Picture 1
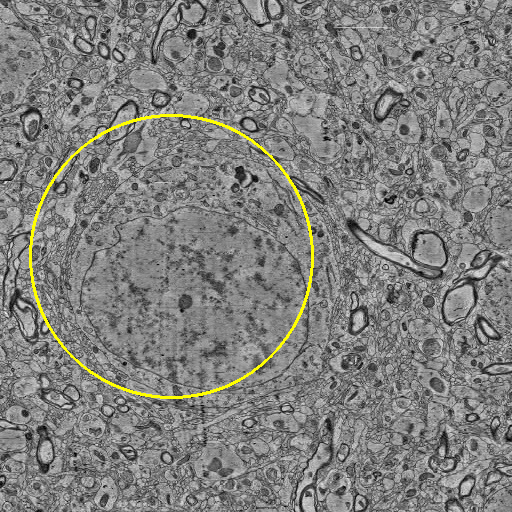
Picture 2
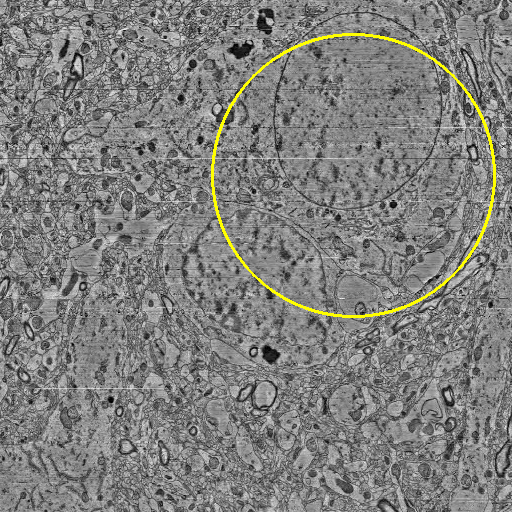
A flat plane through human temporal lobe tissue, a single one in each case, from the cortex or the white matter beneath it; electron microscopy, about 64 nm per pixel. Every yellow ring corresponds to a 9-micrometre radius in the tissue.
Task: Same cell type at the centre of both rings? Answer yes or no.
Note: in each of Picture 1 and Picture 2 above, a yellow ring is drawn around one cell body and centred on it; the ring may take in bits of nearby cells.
yes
